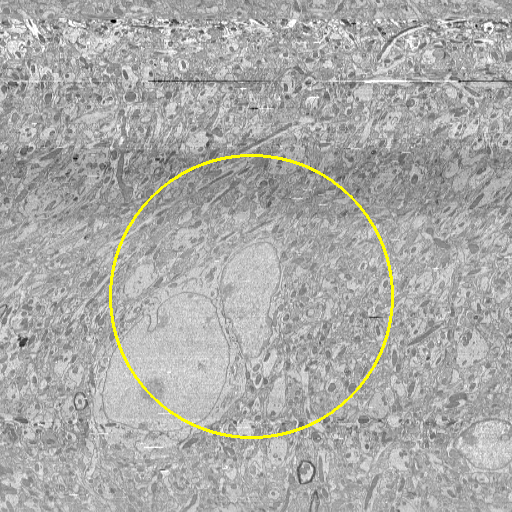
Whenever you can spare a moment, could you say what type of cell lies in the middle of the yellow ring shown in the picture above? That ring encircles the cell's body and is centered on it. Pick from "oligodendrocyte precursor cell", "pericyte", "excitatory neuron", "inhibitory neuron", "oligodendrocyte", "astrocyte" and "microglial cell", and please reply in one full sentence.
The cell whose body sits at the middle of the yellow ring is an oligodendrocyte precursor cell.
